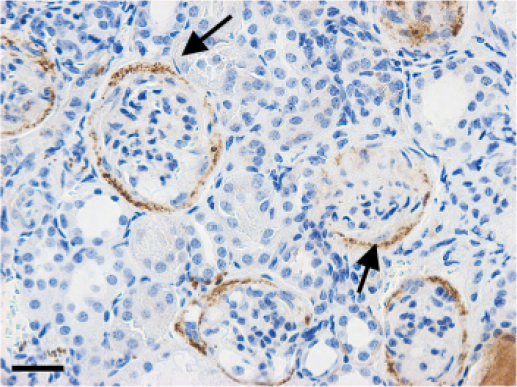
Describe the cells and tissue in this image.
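This is kidney cortex at higher magnification, showing several glomeruli among tubules. Each glomerulus is a rounded tuft of closely packed cells with small dark blue nuclei, surrounded by a thin capsule. A conspicuous brown ring of staining outlines several glomeruli along their capsules, and black arrows point to these rings. The surrounding tubules are lined by cuboidal epithelial cells with round blue nuclei and pale cytoplasm; some tubule lumens appear dilated and empty. Interstitial cells with elongated nuclei lie between tubules. A patch of brown staining is also present at the lower right corner.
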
